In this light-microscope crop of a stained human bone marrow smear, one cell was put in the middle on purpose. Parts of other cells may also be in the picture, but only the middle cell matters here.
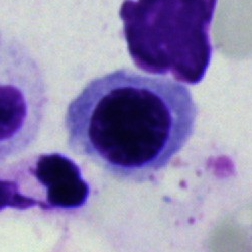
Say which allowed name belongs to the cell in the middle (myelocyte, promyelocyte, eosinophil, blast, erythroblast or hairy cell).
erythroblast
